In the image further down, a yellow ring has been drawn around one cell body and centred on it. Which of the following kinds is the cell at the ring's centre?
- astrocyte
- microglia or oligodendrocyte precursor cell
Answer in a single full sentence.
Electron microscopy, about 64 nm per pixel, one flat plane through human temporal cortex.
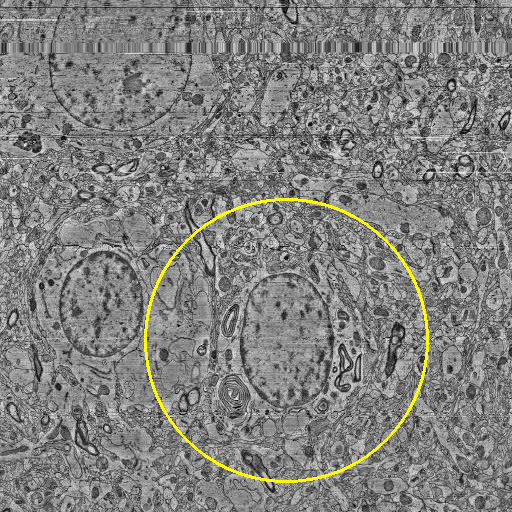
In the picture, the cell sitting at the centre of the yellow ring is an astrocyte.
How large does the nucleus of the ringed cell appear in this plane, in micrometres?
Roughly 9 micrometres long and 6 micrometres wide; in this plane the nucleus is clearly longer than it is wide.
